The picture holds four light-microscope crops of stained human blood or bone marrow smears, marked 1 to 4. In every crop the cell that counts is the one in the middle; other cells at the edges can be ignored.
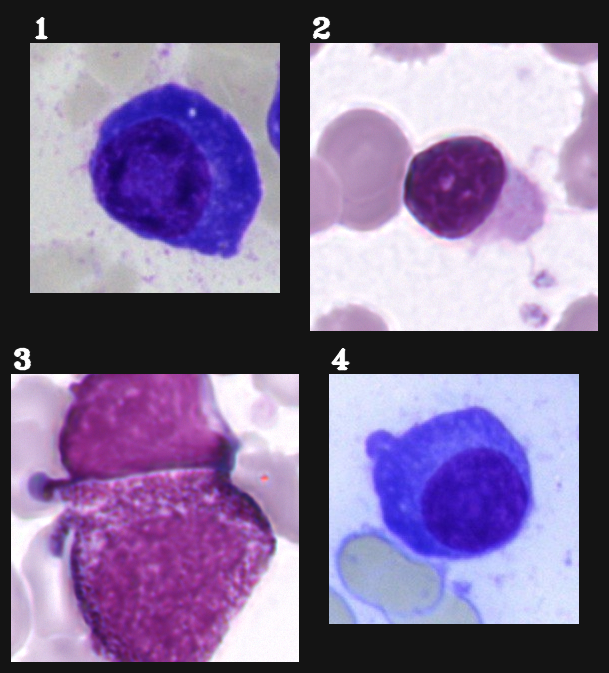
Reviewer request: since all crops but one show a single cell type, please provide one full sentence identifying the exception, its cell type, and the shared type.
In contrast to the other crops, all of which show plasma cells, crop 3 shows a promyelocyte.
